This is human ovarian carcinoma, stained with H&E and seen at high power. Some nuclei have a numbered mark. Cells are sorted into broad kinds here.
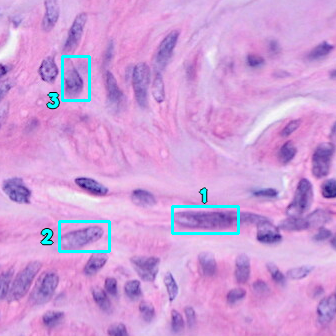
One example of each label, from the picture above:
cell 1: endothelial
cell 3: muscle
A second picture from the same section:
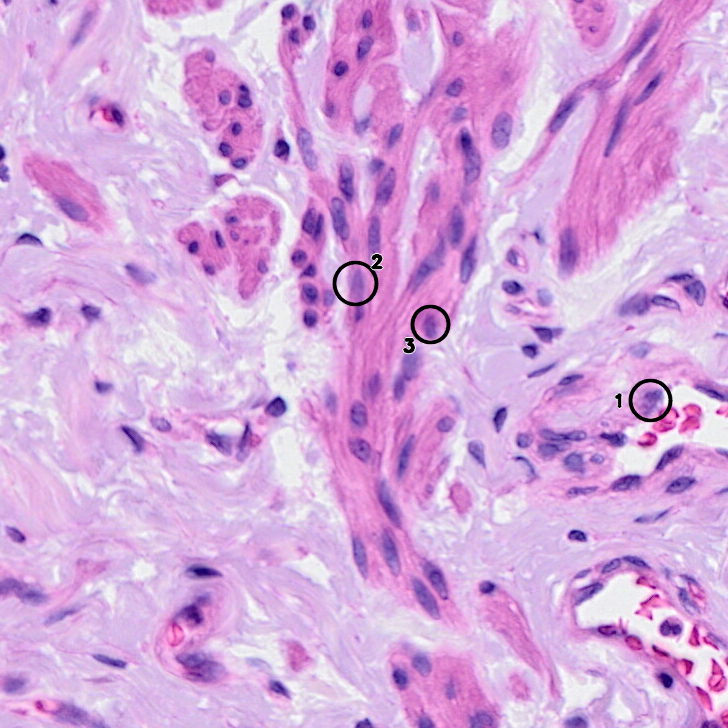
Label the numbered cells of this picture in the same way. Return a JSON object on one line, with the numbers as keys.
{"1": "endothelial", "2": "muscle", "3": "muscle"}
